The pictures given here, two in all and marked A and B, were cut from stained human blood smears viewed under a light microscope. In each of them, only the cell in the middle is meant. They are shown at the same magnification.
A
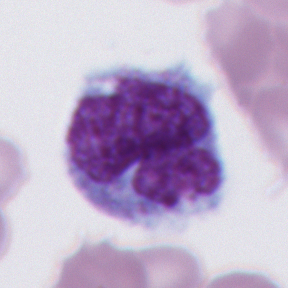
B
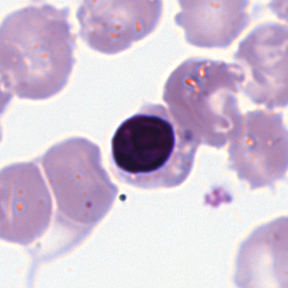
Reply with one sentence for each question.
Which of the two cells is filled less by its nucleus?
Of the two, the nucleus in picture B leaves more room for cytoplasm.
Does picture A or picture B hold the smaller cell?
Picture B holds the smaller cell, since the cell in picture A covers about 4 times as much area.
